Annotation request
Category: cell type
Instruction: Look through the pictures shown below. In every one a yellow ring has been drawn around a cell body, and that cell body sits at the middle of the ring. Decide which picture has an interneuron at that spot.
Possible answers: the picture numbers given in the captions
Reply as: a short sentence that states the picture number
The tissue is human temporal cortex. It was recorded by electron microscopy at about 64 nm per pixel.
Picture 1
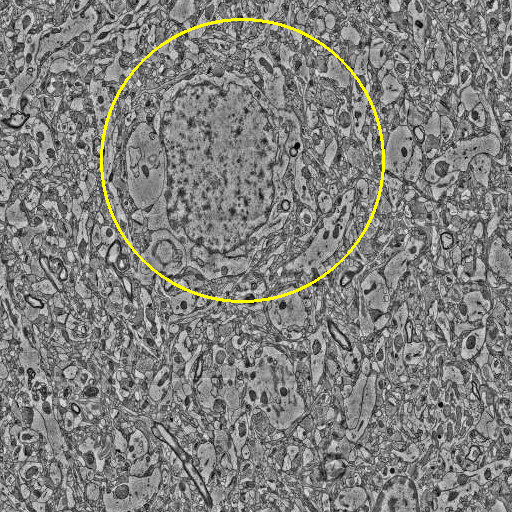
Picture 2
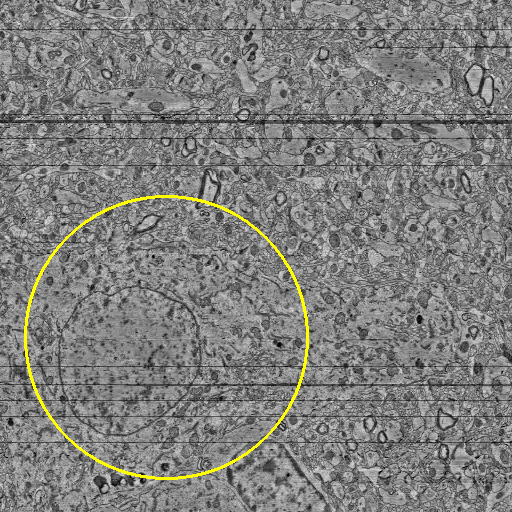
It is in Picture 1.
